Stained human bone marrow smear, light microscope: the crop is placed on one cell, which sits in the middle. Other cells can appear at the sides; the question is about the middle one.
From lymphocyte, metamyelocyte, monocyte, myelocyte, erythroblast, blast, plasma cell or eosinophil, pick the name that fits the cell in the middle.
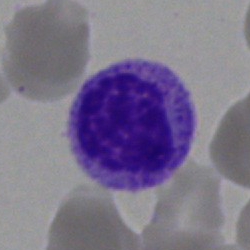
myelocyte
